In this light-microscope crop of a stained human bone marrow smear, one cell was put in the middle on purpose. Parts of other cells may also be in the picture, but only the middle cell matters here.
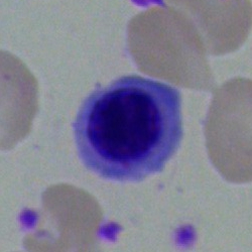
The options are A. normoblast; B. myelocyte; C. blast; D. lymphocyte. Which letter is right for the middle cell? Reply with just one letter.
A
